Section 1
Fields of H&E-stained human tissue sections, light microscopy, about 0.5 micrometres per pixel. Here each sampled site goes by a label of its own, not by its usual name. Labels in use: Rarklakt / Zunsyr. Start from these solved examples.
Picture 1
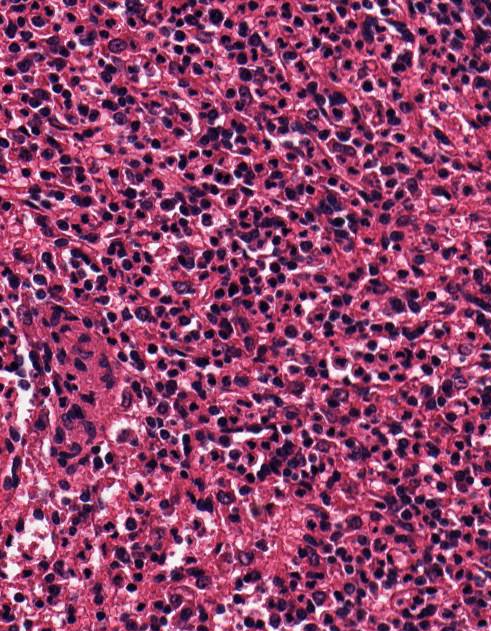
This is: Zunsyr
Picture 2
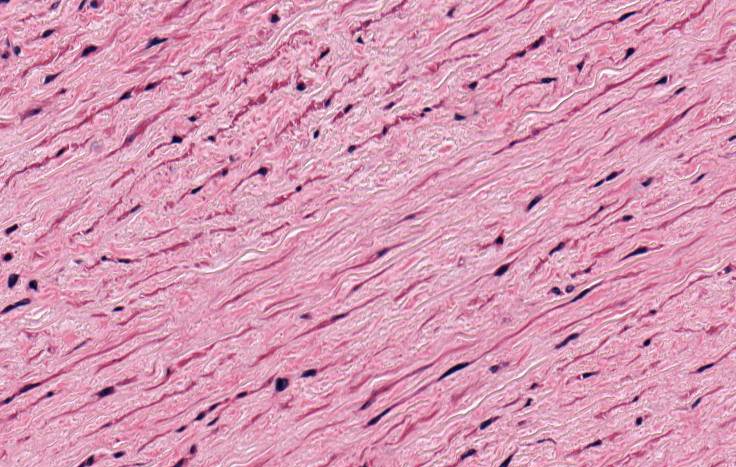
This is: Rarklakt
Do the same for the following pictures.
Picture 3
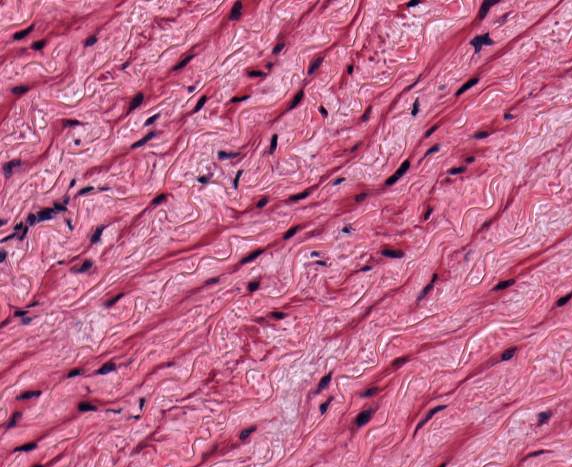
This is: Rarklakt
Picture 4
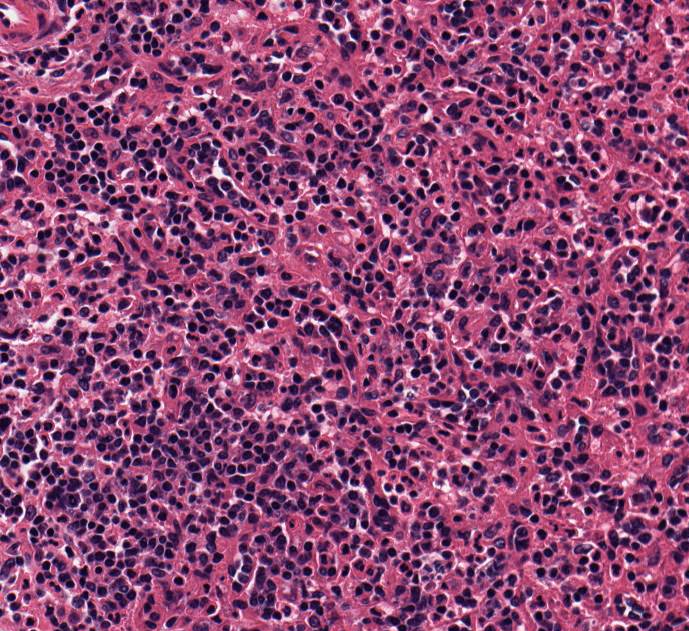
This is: Zunsyr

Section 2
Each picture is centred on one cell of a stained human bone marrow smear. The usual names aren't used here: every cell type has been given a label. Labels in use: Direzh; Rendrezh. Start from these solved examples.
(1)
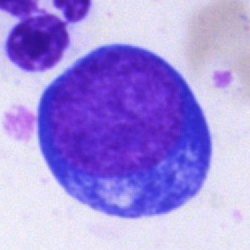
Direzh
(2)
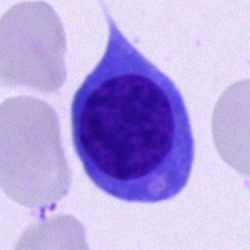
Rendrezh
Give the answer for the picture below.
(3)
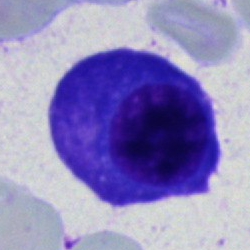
Rendrezh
